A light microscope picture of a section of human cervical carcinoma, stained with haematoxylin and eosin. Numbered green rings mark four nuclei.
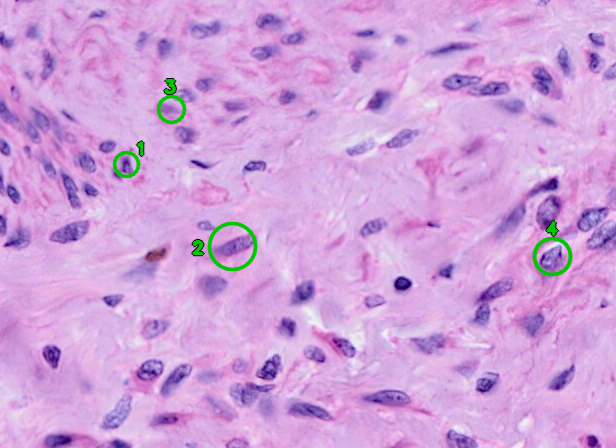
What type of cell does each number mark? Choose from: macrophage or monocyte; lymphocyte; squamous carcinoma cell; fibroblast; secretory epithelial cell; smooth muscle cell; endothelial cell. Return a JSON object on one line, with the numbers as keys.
{"1": "smooth muscle cell", "2": "smooth muscle cell", "3": "smooth muscle cell", "4": "endothelial cell"}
